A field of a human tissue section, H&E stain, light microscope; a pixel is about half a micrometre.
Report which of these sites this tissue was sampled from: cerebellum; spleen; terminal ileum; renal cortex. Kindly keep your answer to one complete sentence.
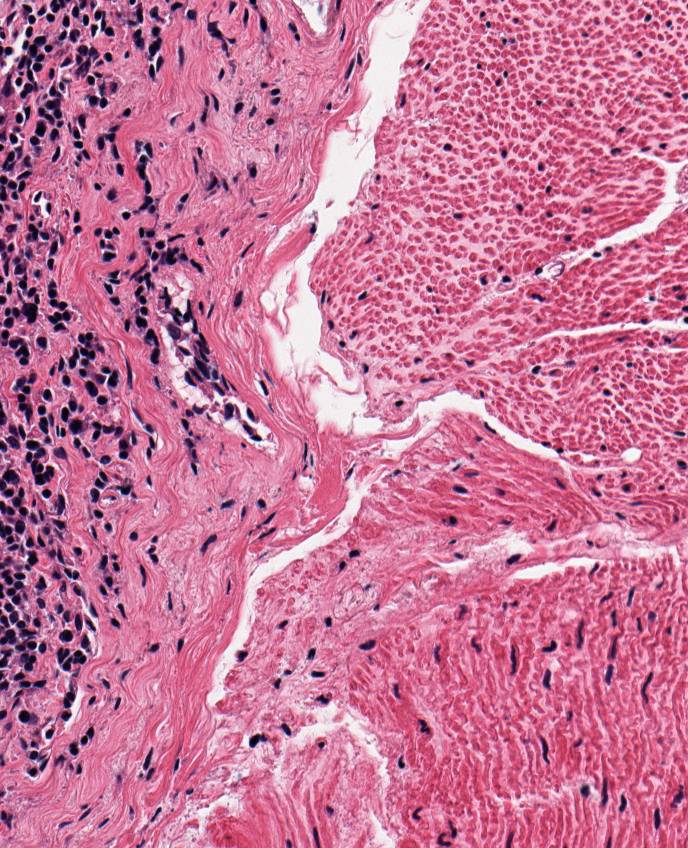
It is the terminal ileum from which this tissue was sampled.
